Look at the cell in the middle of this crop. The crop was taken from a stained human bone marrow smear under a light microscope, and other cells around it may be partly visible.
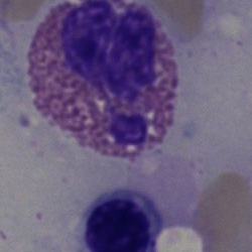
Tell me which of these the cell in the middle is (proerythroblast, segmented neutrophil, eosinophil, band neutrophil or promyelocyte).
eosinophil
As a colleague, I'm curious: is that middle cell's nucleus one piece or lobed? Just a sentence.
Multiple nuclear lobes, two or more, can be counted in this cell.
